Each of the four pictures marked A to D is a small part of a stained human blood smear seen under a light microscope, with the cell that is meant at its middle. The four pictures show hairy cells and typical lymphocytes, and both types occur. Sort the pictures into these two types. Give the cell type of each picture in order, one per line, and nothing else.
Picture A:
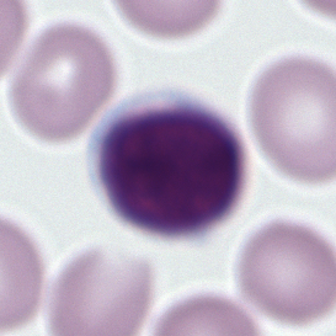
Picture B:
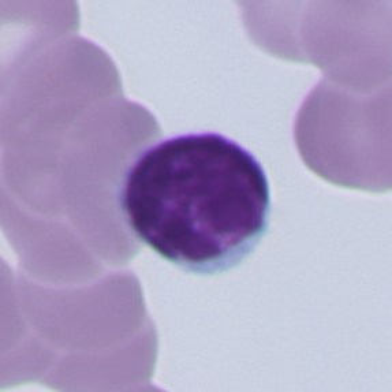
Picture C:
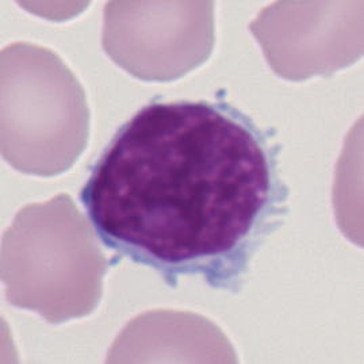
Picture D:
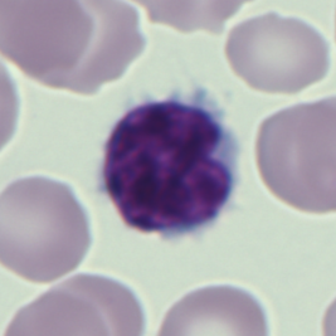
typical lymphocyte
typical lymphocyte
hairy cell
hairy cell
